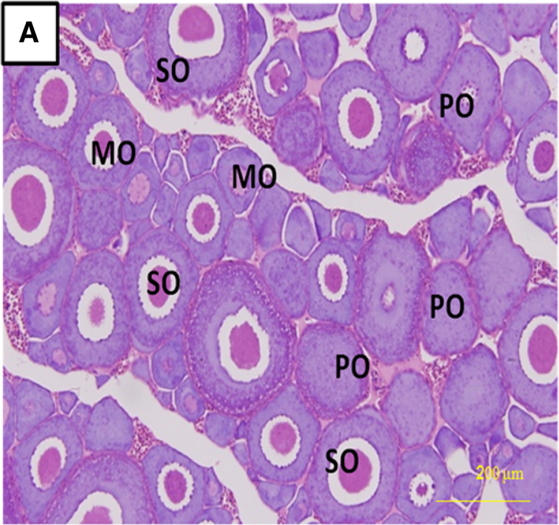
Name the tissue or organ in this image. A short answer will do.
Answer: ovary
